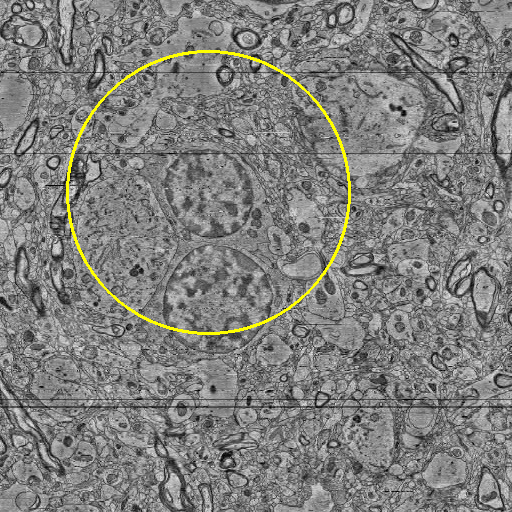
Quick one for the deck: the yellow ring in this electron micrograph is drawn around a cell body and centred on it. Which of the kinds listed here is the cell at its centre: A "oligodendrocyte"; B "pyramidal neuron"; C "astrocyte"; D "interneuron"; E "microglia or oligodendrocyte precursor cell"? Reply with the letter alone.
A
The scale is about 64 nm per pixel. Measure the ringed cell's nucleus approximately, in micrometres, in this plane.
Roughly 6 micrometres by 5 micrometres, in this plane.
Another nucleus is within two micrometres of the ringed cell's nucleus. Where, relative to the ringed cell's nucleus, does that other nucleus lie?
The second nucleus is below it.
